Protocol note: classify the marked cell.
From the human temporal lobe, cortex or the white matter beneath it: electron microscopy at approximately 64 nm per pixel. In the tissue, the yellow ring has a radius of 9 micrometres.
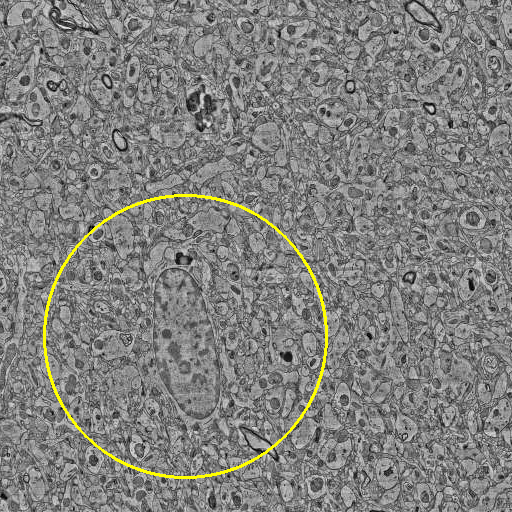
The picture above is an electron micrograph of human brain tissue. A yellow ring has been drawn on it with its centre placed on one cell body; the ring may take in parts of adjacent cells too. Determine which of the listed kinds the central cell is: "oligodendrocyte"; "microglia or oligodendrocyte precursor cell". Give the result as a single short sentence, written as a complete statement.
The central cell is a microglial cell or oligodendrocyte precursor cell.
